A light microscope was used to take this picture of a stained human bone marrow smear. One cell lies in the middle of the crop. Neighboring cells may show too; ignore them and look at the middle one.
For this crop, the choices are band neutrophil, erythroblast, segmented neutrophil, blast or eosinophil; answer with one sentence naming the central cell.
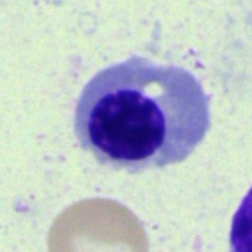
This crop is built around an erythroblast at its centre.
